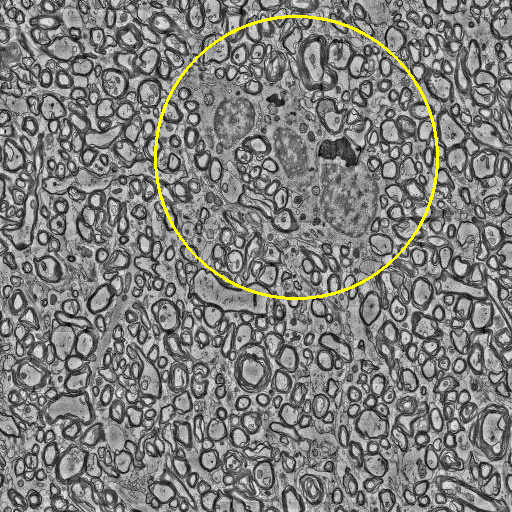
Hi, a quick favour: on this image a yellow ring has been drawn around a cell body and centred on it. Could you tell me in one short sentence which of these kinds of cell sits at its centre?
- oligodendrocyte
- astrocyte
The ring is centred on an oligodendrocyte.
